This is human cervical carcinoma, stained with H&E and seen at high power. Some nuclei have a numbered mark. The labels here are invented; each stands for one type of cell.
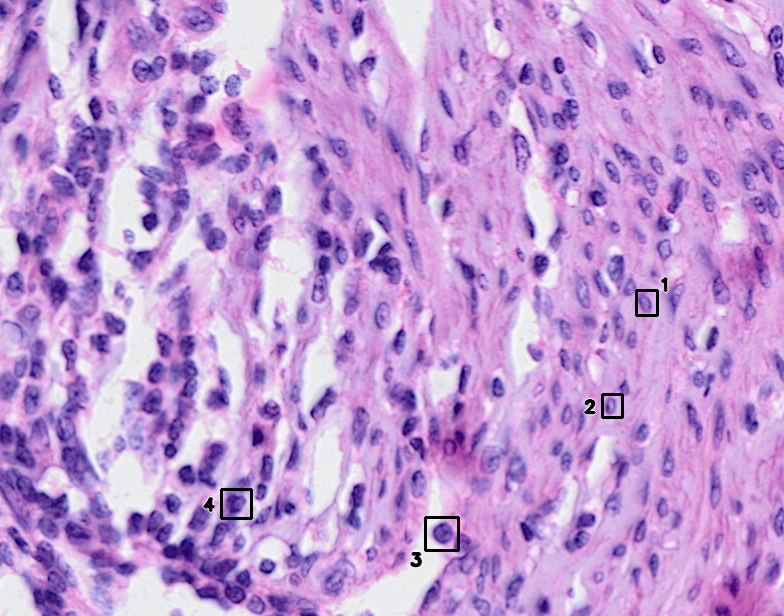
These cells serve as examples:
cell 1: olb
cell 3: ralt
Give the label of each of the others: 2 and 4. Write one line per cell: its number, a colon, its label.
2: olb
4: ralt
